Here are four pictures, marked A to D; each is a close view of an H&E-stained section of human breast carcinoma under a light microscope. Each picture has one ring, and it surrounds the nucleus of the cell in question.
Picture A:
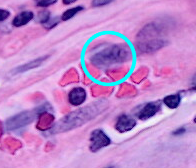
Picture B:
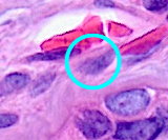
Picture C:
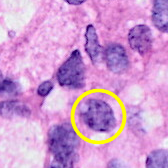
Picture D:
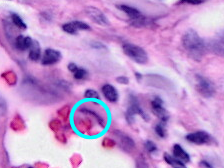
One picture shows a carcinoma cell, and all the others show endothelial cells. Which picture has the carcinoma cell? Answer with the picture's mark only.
C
